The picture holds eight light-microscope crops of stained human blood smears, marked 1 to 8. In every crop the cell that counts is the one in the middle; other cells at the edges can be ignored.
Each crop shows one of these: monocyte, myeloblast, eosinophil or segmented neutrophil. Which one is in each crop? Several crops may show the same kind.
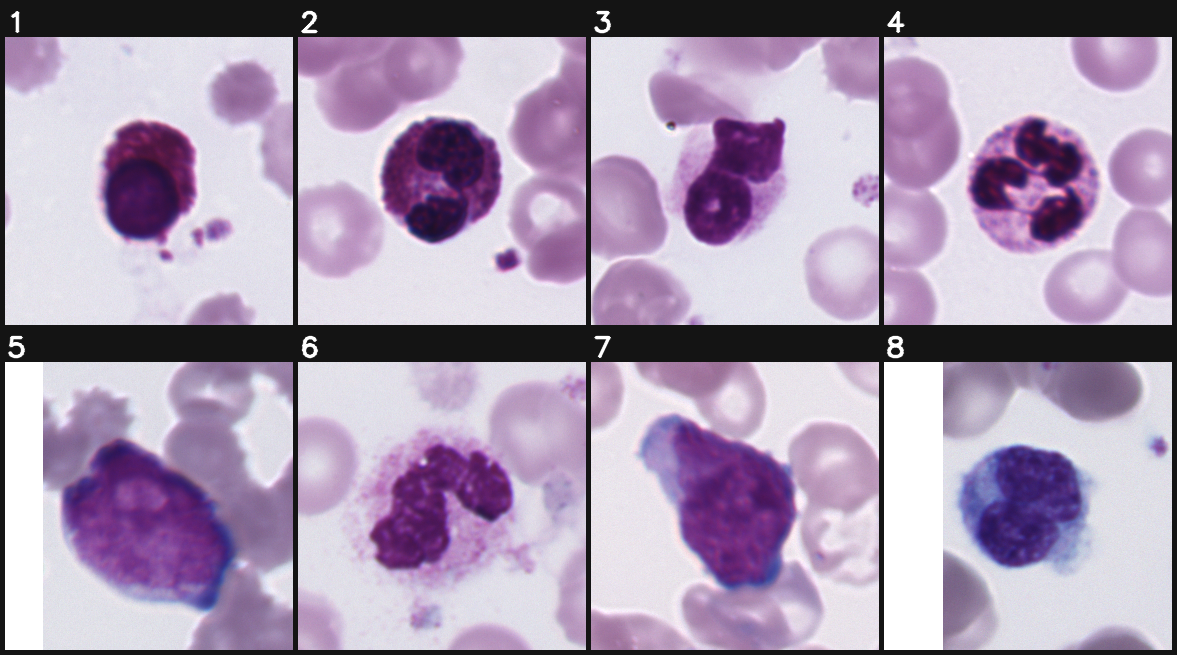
1: eosinophil
2: eosinophil
3: segmented neutrophil
4: segmented neutrophil
5: myeloblast
6: segmented neutrophil
7: myeloblast
8: monocyte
